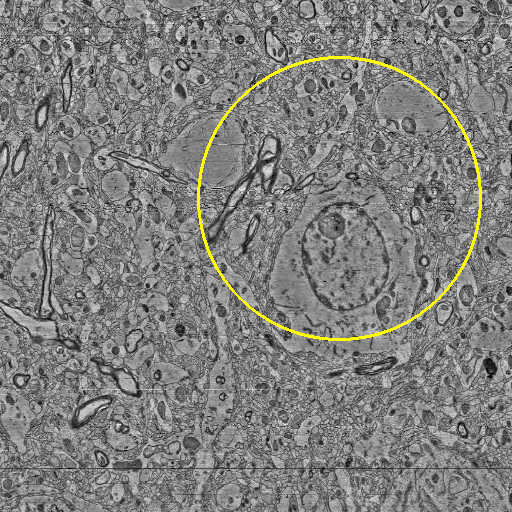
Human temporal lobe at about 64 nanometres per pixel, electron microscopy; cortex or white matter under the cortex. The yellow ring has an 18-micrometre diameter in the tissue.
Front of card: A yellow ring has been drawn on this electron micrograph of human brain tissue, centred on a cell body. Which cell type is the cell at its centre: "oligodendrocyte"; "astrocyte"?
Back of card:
astrocyte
